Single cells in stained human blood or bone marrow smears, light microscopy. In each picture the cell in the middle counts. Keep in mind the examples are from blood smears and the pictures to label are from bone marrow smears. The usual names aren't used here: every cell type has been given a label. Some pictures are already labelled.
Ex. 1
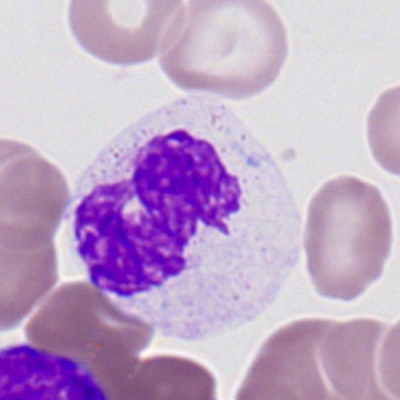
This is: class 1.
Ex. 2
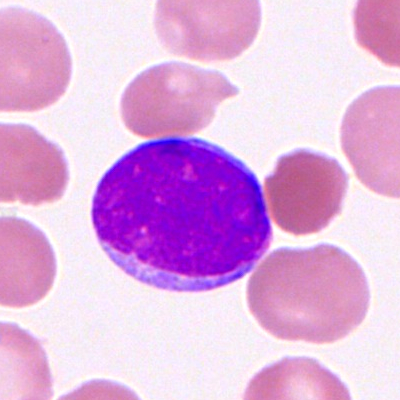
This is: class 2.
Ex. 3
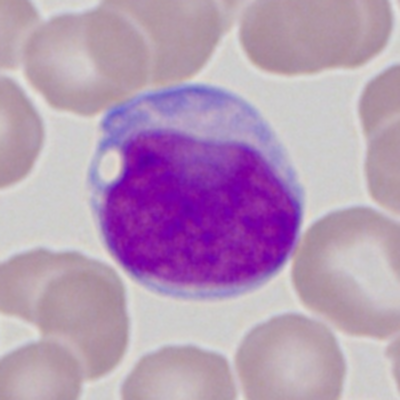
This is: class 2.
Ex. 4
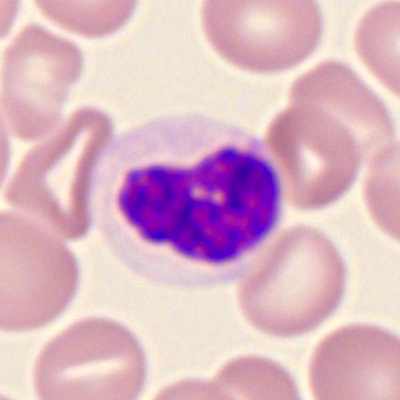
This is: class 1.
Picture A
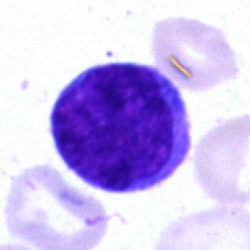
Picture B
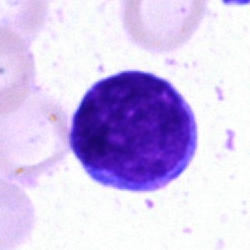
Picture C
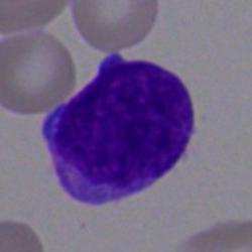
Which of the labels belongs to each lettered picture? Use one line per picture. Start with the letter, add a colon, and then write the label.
A: class 2.
B: class 2.
C: class 2.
